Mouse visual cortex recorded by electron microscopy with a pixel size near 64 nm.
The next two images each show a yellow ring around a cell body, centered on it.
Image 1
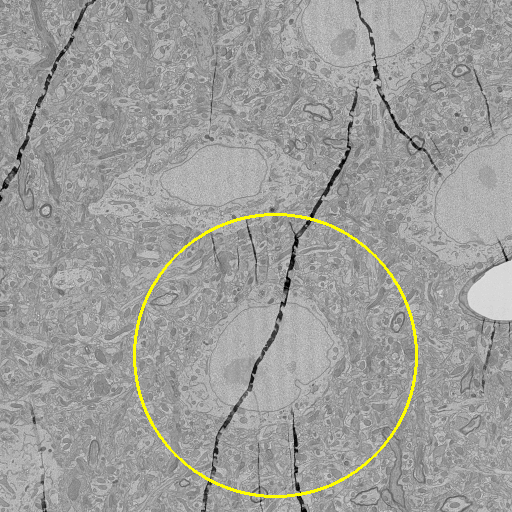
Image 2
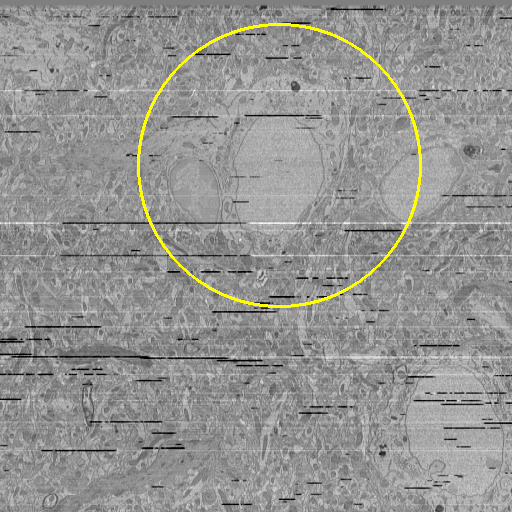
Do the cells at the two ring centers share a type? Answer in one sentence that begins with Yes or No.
Yes, across the two images the cells at the ring centers share one type.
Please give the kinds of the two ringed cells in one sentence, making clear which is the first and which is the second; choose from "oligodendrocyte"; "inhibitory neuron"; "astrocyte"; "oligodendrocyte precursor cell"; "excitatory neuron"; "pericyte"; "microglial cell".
The first and the second cell are each an excitatory neuron.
